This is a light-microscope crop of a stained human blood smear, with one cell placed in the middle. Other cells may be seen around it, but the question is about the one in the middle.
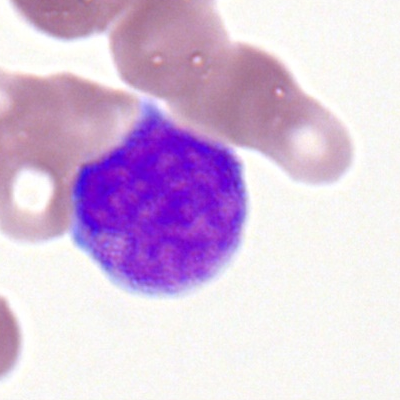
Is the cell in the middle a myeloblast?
yes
